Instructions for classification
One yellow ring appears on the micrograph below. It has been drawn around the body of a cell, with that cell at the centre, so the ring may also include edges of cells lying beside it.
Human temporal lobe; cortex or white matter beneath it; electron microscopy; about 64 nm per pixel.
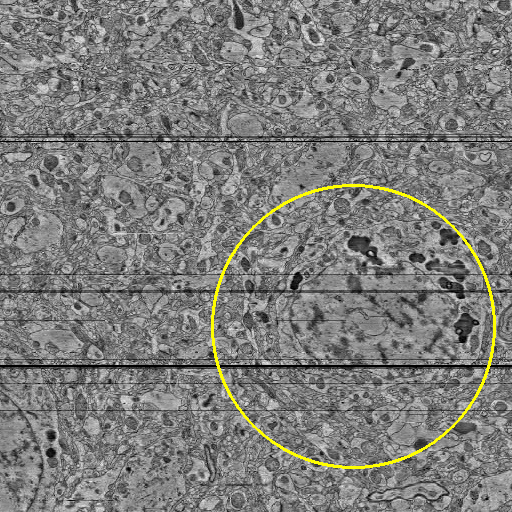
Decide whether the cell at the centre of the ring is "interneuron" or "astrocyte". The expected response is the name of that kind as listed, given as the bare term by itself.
interneuron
